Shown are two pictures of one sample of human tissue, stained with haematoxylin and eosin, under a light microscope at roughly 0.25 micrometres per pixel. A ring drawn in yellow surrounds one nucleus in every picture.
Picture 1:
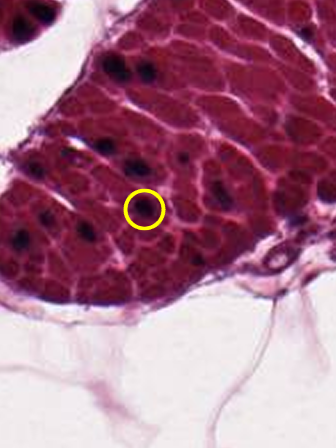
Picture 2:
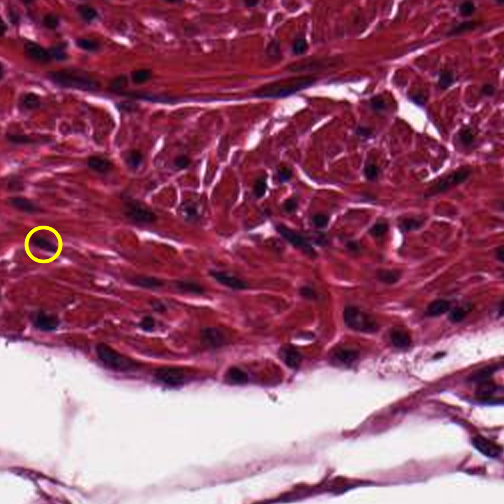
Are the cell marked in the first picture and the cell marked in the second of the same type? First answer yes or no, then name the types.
Yes, both are smooth muscle cells.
